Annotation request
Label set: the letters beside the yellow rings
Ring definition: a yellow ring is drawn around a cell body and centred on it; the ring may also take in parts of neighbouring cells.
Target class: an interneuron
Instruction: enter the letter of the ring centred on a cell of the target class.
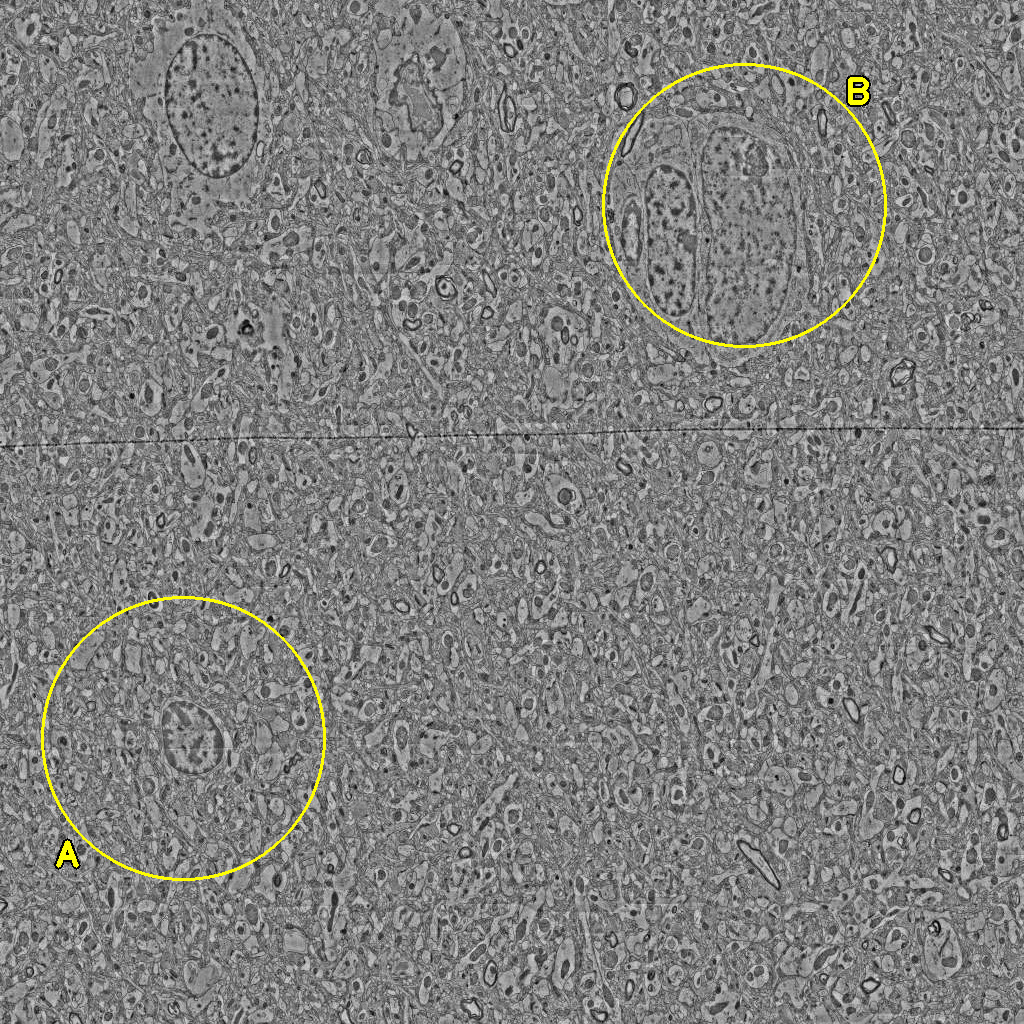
B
